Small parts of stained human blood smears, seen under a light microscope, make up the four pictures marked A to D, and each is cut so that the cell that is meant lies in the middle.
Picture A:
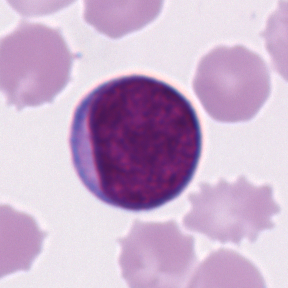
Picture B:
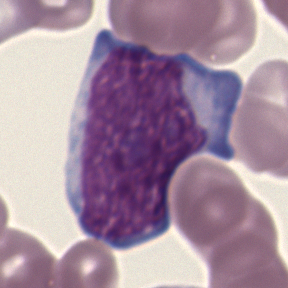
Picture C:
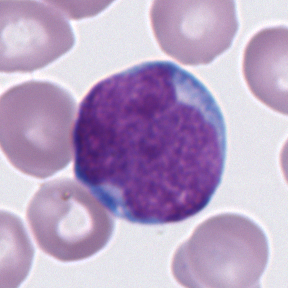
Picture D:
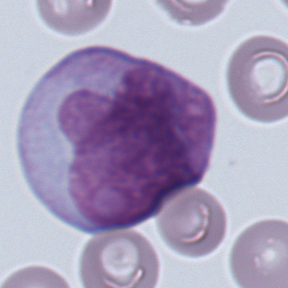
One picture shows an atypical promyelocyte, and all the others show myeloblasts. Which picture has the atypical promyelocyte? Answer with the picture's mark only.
D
